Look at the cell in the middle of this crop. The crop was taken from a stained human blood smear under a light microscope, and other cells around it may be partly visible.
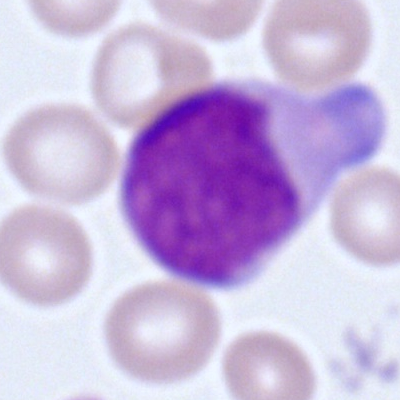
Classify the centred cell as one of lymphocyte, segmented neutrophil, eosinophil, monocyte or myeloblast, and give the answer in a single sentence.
Classification of the middle cell gives a myeloblast.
